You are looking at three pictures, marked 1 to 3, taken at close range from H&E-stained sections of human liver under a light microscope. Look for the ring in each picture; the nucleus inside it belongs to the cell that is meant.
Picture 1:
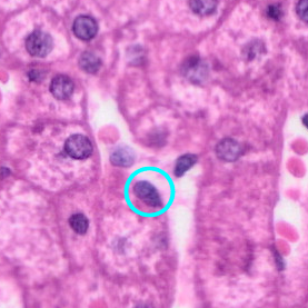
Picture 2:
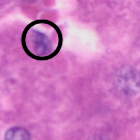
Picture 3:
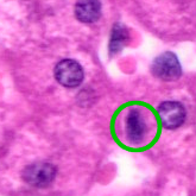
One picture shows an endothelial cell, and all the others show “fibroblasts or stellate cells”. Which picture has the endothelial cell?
2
